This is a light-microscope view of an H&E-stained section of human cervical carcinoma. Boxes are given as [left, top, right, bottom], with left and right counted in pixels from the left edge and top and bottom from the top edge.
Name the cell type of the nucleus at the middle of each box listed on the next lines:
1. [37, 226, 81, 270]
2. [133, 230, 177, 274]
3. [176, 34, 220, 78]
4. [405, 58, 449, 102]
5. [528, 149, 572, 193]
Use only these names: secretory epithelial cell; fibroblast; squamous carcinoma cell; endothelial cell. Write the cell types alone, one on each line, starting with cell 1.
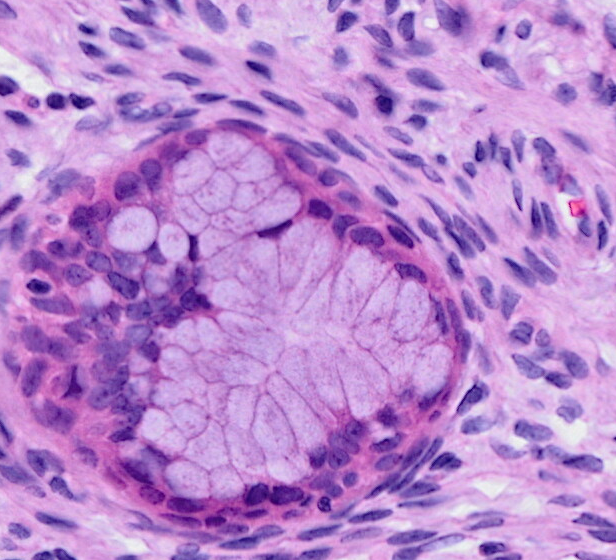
secretory epithelial cell
secretory epithelial cell
fibroblast
fibroblast
endothelial cell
